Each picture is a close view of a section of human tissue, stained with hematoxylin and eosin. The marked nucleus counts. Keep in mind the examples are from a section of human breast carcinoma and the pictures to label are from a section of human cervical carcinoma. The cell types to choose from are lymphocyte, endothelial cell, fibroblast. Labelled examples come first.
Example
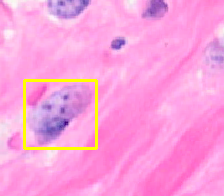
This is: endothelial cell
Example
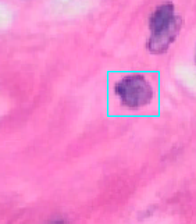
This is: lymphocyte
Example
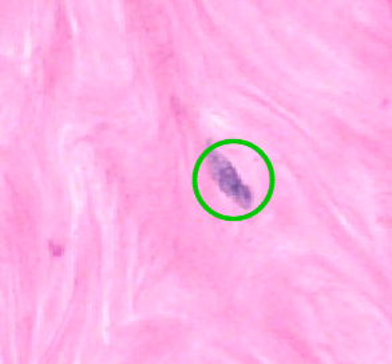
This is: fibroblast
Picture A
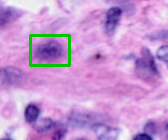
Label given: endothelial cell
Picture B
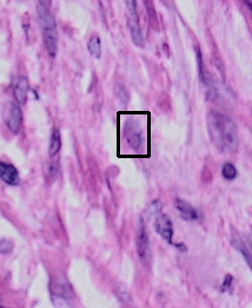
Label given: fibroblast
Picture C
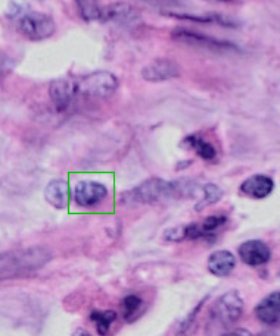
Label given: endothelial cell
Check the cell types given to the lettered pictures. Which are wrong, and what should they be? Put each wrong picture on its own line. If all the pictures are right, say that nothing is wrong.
C is labelled endothelial cell; correct label: lymphocyte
